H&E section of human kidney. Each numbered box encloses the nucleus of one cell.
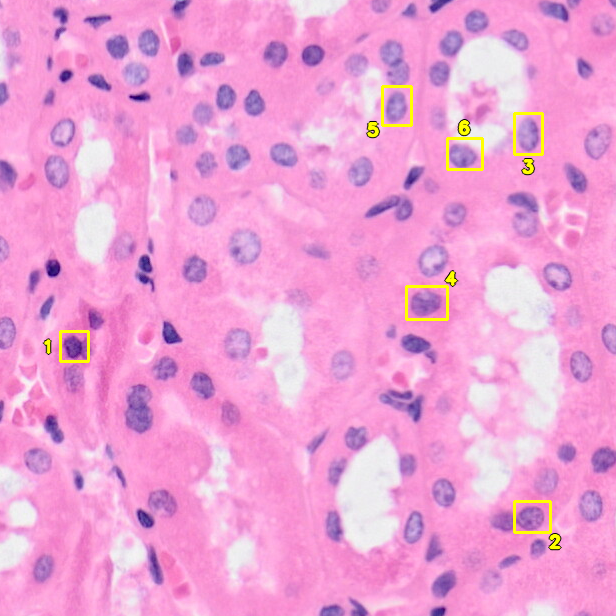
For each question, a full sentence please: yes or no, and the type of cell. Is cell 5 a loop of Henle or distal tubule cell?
Yes, it is a loop of Henle or distal tubule cell that carries the number 5.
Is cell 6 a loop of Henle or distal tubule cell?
Yes, the cell that has number 6 is a loop of Henle or distal tubule cell.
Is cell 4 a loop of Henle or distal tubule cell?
No, the cell tagged 4 is a proximal tubule cell, not a loop of Henle or distal tubule cell.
